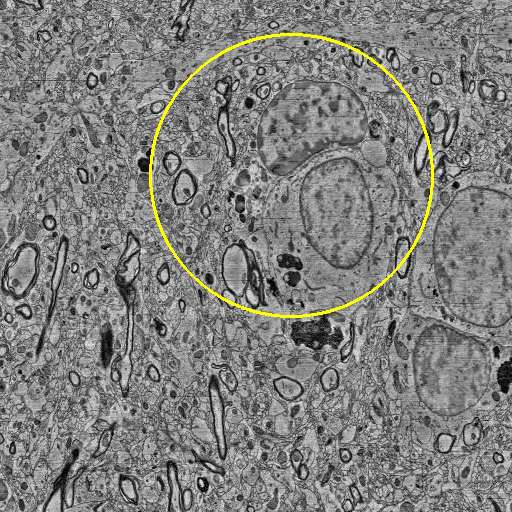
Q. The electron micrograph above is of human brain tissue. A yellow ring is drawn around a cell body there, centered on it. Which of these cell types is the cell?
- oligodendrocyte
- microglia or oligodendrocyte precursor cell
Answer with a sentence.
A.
The cell under the ring's center is a microglial cell or oligodendrocyte precursor cell.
